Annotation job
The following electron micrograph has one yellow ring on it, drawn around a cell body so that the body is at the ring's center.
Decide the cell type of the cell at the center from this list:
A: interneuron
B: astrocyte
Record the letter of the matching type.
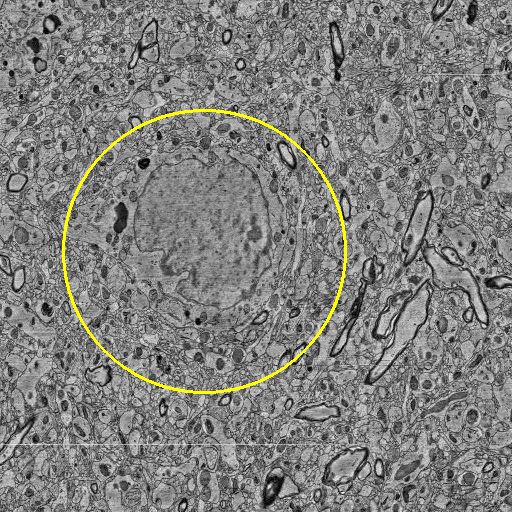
A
